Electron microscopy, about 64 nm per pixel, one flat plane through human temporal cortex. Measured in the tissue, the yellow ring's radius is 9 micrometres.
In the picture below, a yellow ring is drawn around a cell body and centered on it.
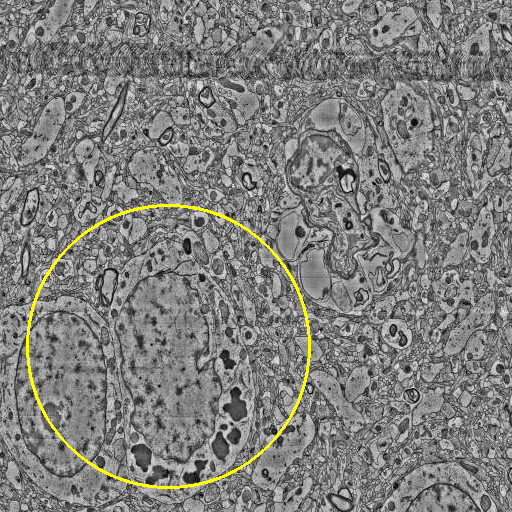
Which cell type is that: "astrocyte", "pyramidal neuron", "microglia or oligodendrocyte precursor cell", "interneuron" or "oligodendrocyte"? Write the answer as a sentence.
The cell centered in the ring is an interneuron.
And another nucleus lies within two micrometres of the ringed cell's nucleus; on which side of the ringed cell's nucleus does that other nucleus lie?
That other nucleus is to the left of it.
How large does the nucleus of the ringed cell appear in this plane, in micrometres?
The nucleus has a long axis of about 12 micrometres and a short axis of about 6 micrometres in this plane.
